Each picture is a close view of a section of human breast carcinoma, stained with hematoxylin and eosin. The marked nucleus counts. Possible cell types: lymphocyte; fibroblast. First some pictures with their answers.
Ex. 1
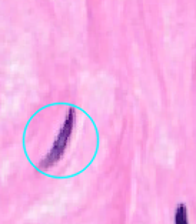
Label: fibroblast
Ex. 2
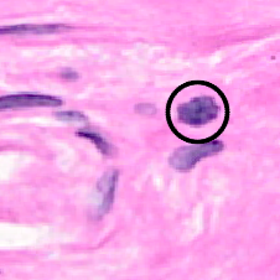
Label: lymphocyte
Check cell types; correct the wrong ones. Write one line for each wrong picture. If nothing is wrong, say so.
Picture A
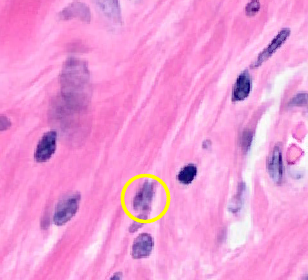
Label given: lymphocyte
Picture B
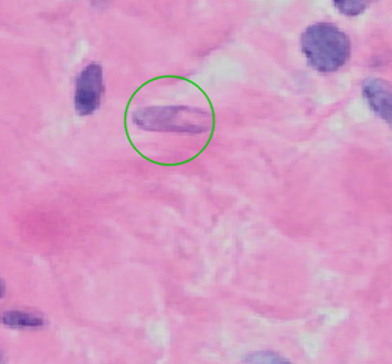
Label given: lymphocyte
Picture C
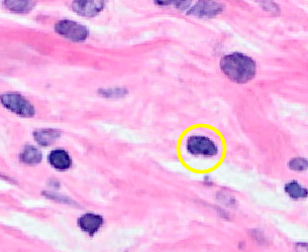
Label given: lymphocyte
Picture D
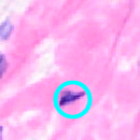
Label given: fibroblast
B: fibroblast, not lymphocyte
